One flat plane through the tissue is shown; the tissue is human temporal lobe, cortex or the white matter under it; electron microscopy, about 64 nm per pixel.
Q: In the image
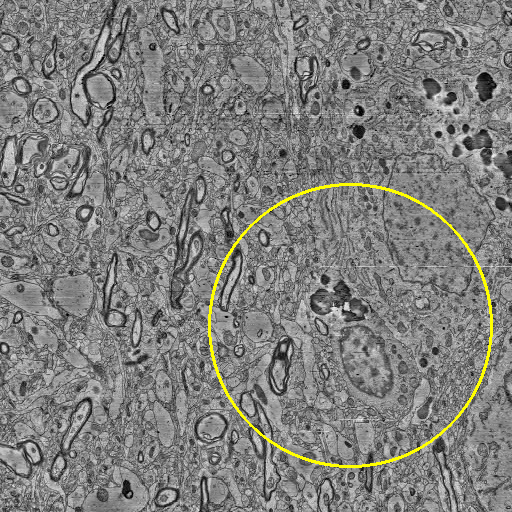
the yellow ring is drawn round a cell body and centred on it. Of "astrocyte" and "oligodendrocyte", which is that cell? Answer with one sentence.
The cell centred in the ring is an oligodendrocyte.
